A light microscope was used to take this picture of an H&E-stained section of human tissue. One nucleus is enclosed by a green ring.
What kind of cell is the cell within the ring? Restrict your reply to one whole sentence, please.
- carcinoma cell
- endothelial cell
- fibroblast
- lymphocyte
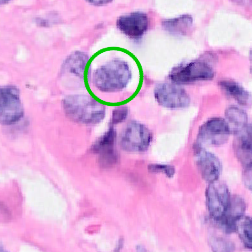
Placed in its cell category, the cell within the ring is a carcinoma cell.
